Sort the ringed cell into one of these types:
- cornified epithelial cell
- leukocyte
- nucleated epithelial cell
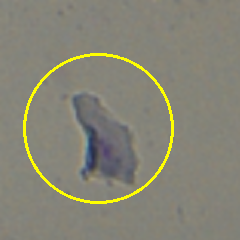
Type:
cornified epithelial cell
